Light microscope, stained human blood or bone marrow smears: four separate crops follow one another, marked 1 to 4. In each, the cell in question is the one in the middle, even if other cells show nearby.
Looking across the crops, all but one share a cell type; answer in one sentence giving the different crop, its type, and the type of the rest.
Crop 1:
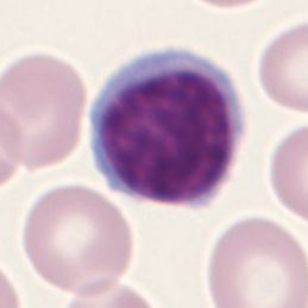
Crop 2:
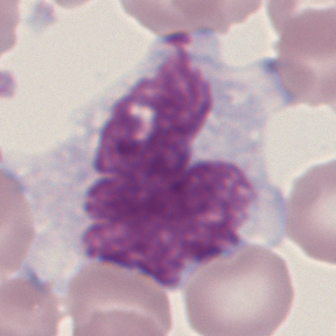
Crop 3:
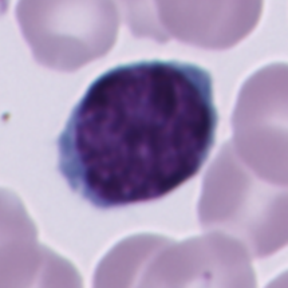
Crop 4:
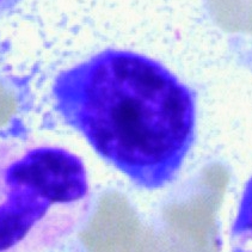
Crop 2 is the exception here: it is a monocyte, and the others are lymphocytes.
